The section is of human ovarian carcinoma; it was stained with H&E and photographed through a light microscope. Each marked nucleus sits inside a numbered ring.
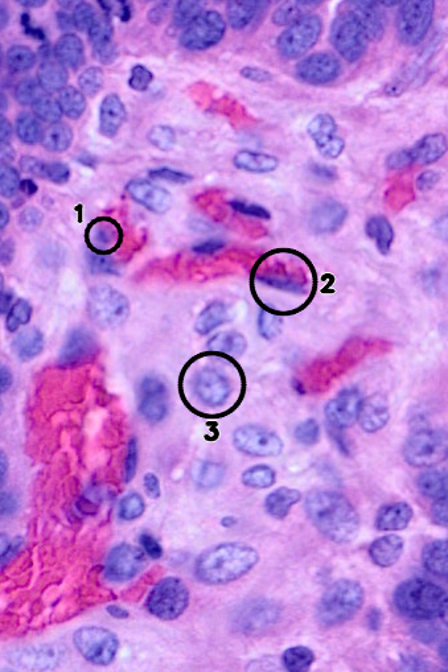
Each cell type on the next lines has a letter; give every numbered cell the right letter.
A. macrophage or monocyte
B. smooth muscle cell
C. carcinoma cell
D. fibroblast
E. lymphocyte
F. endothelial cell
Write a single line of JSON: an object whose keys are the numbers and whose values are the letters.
{"1": "F", "2": "F", "3": "D"}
